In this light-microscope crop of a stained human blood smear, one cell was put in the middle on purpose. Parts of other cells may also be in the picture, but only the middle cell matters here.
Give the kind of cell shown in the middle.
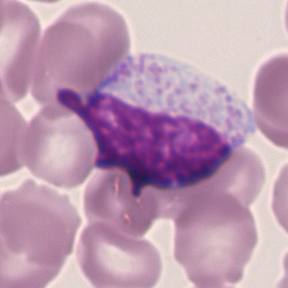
myelocyte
